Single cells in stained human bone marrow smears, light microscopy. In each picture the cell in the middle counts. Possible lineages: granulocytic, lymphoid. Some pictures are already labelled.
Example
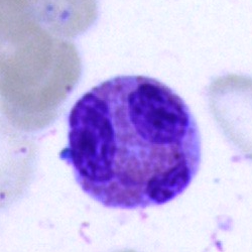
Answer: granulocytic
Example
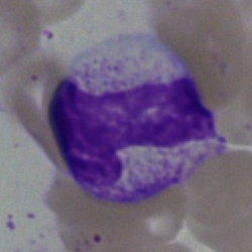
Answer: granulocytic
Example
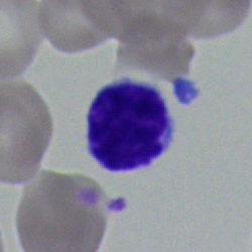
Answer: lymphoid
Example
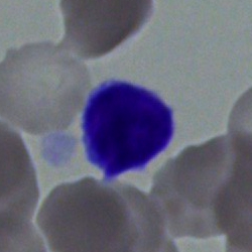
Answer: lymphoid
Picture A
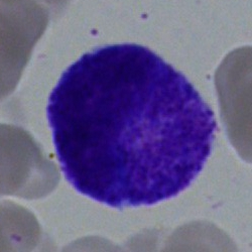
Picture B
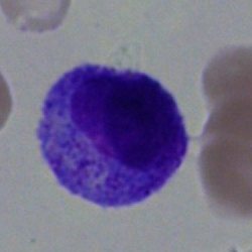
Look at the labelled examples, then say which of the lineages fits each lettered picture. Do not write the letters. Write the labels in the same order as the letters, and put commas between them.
granulocytic, granulocytic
